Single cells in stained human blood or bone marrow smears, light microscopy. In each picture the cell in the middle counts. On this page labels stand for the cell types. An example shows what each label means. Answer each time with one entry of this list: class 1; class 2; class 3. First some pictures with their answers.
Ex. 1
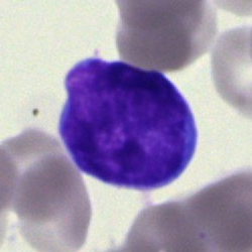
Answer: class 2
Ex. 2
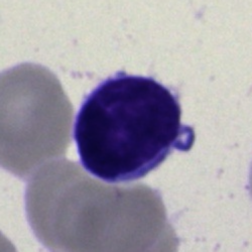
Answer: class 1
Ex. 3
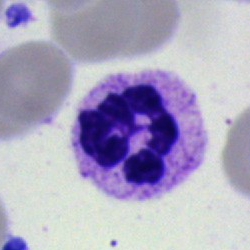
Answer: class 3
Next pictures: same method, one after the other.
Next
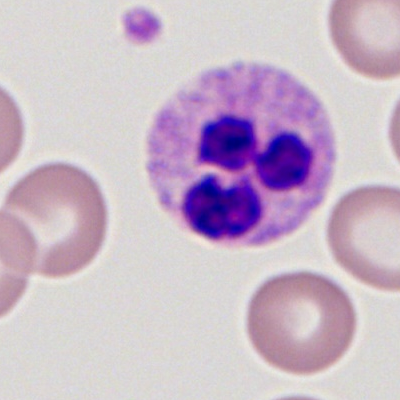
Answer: class 3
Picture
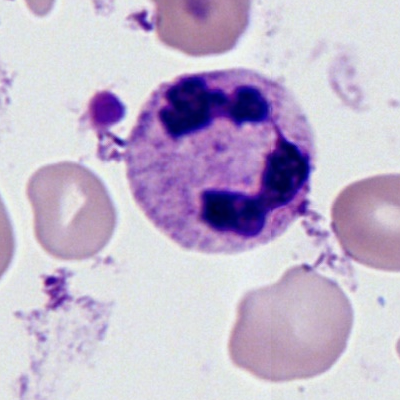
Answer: class 3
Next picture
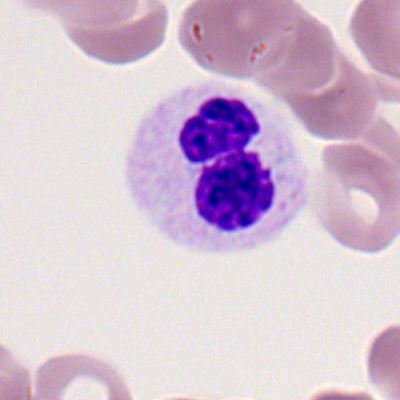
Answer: class 3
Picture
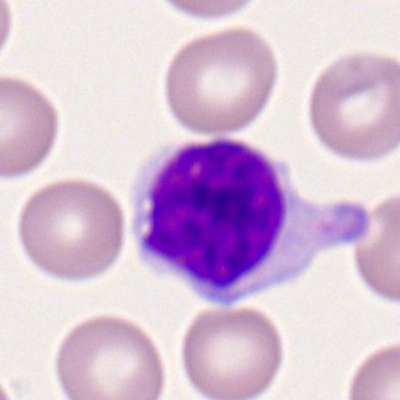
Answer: class 1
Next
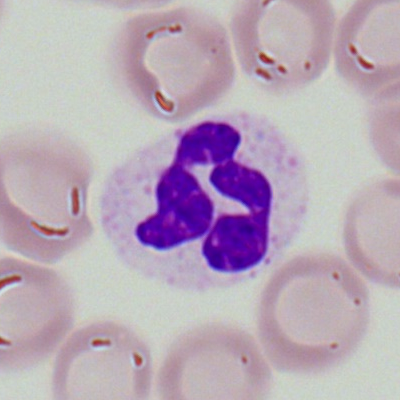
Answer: class 3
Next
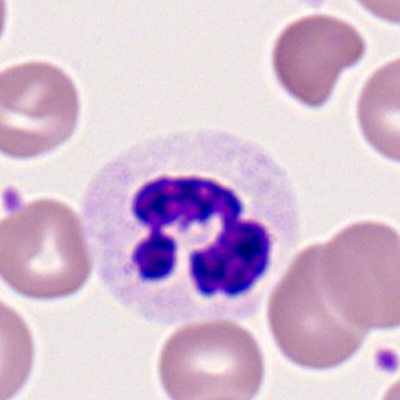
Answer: class 3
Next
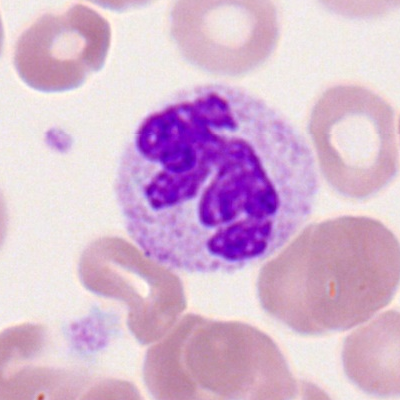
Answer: class 3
